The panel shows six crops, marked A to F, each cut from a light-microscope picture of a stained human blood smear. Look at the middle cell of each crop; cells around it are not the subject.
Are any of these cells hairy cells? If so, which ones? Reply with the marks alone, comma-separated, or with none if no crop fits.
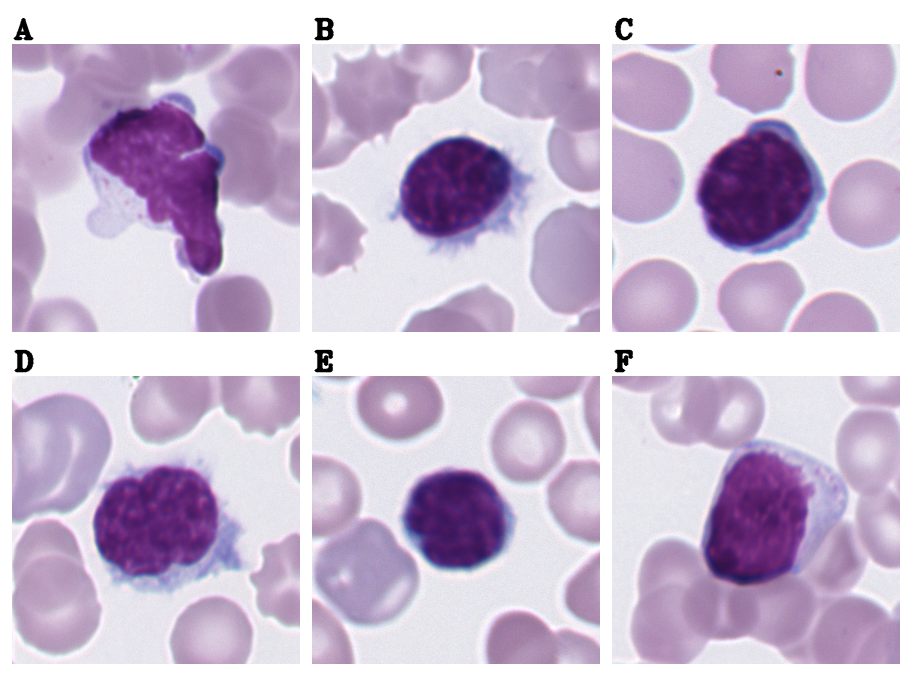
B, D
